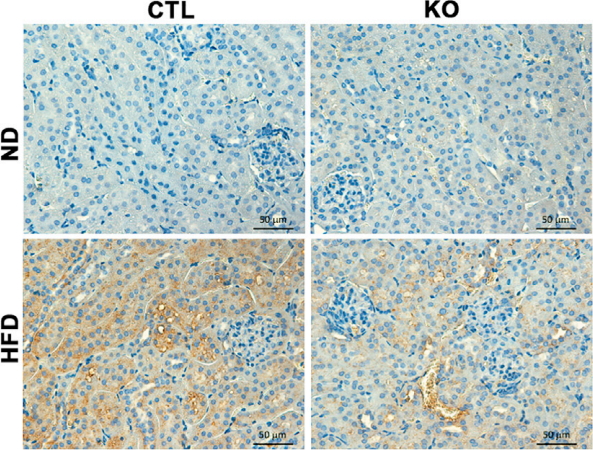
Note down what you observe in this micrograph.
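Four fields of kidney cortex counterstained blue, showing glomeruli and packed tubules with round blue nuclei. The upper two fields are almost free of brown stain. In the lower left field brown stain fills the cytoplasm of many tubular cells across the field, with denser brown clumps in some tubule lumens and cells, while the glomerulus stays blue. The lower right field has only scattered, weaker brown staining, mostly in a few tubules and lumens.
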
